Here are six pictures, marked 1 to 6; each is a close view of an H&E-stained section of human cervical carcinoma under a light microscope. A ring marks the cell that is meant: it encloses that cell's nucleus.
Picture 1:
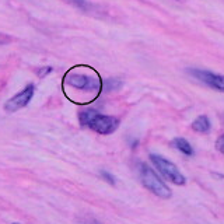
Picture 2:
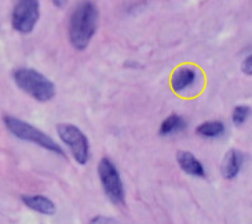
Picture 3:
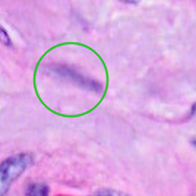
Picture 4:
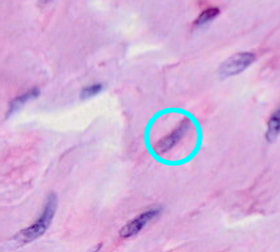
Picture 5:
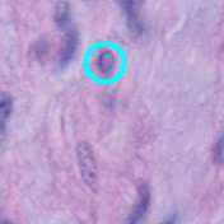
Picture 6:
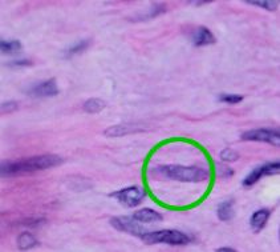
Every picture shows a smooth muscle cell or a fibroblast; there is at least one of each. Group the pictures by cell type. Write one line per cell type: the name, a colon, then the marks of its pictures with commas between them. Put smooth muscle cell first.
smooth muscle cell: 1, 4, 5, 6
fibroblast: 2, 3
